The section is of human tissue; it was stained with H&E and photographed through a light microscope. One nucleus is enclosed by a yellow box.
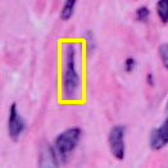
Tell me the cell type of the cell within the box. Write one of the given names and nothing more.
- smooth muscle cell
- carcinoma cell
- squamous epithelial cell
smooth muscle cell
